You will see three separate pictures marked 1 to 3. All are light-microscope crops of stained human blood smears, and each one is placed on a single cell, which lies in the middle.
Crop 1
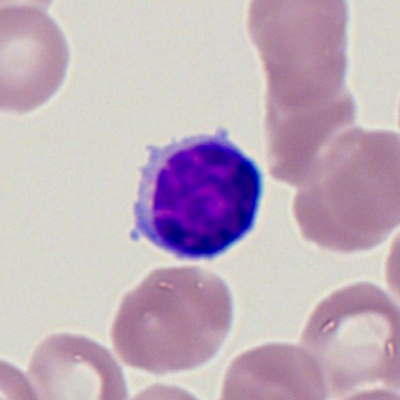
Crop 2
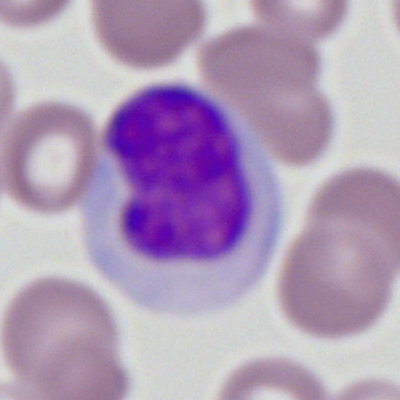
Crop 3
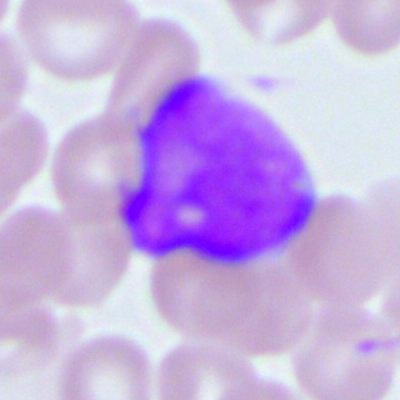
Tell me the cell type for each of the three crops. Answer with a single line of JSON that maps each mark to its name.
{"1": "lymphocyte", "2": "monocyte", "3": "myeloblast"}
